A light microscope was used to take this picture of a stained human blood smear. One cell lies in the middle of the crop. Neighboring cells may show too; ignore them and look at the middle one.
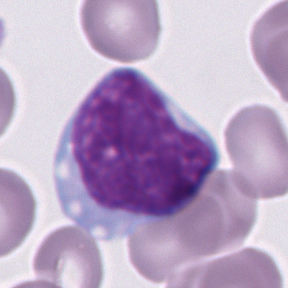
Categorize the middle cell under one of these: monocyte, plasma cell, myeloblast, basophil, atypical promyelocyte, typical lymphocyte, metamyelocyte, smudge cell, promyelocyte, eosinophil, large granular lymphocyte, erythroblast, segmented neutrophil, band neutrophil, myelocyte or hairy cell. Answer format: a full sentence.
As for the cell in the middle, it is a myeloblast.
